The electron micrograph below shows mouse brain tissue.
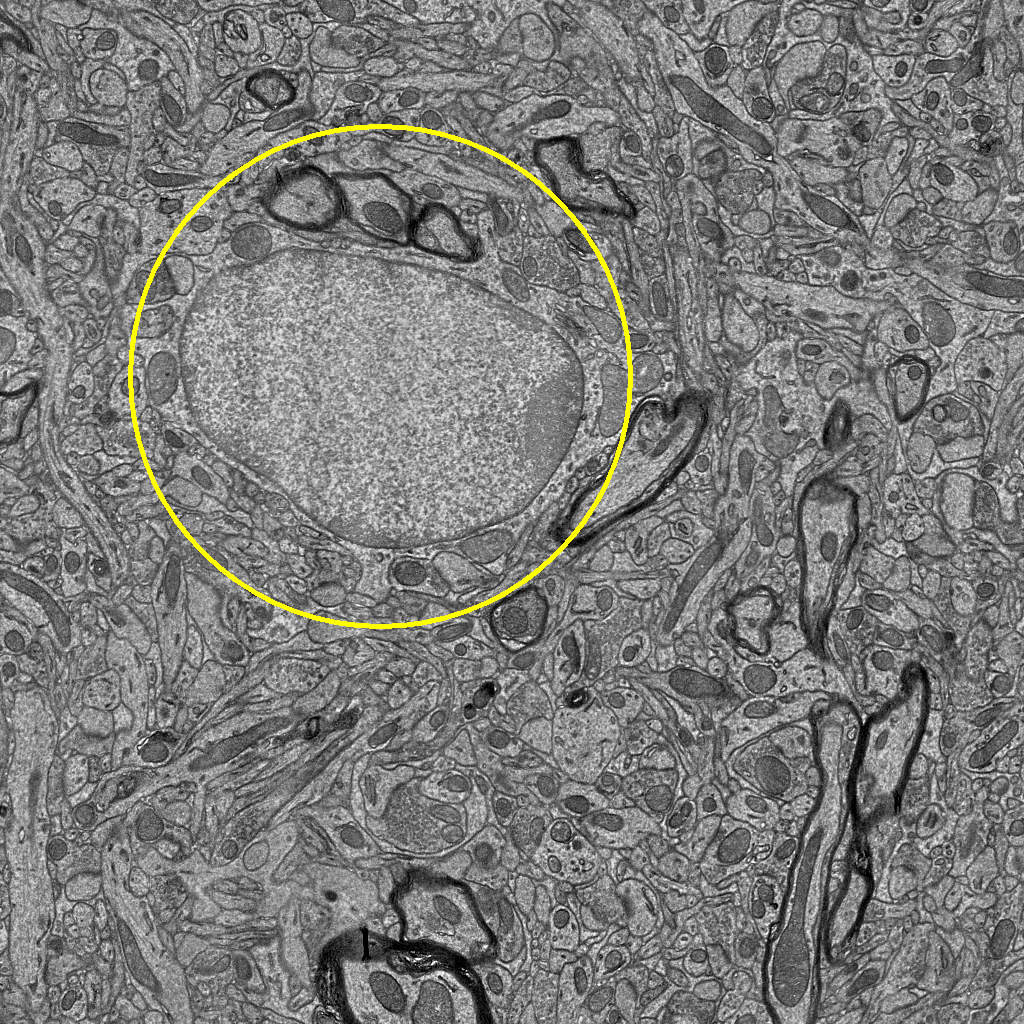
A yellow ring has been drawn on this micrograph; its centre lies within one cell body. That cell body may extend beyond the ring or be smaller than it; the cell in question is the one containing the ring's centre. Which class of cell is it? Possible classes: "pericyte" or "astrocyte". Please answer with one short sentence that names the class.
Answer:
In the centre of the ring sits an astrocyte.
